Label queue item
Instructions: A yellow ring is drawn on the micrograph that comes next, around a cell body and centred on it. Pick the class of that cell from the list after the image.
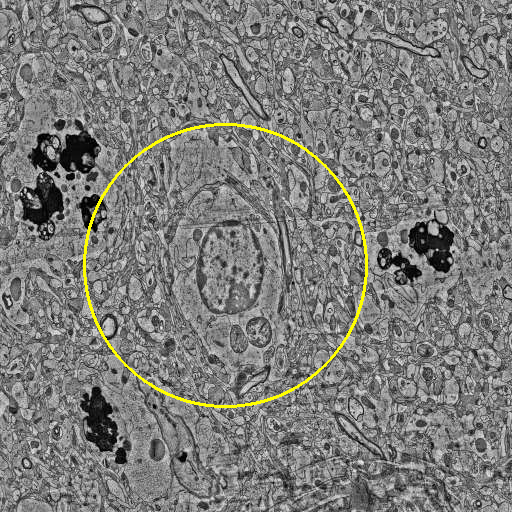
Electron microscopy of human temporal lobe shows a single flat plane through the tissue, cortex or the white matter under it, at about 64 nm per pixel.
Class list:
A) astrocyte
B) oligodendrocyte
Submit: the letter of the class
A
